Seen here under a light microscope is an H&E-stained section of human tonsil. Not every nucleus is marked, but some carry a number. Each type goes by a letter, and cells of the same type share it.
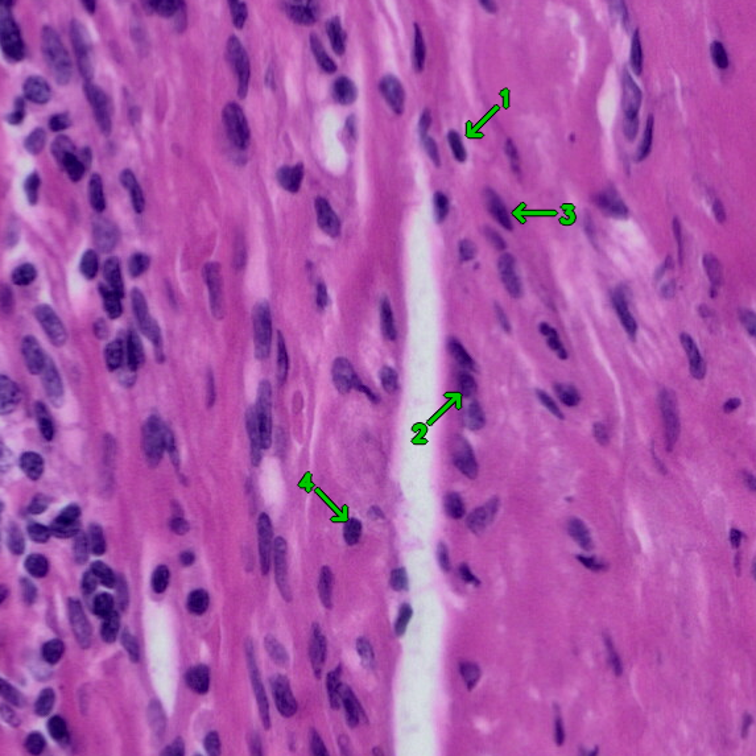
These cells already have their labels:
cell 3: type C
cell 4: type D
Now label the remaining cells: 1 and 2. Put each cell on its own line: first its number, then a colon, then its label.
1: type D
2: type C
